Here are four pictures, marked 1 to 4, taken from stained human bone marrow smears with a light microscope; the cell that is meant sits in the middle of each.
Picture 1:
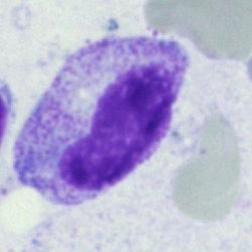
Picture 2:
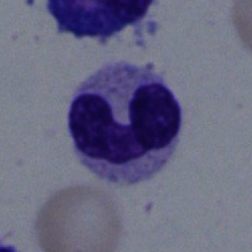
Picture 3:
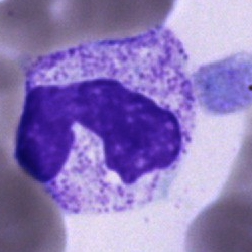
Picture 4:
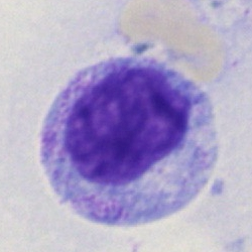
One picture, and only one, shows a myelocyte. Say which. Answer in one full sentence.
The picture with the myelocyte is 4.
